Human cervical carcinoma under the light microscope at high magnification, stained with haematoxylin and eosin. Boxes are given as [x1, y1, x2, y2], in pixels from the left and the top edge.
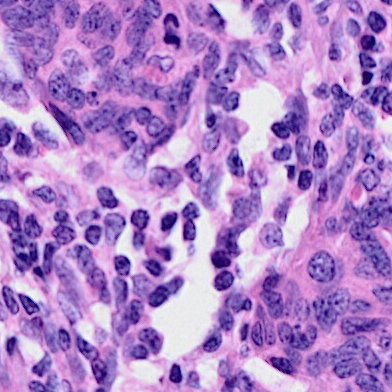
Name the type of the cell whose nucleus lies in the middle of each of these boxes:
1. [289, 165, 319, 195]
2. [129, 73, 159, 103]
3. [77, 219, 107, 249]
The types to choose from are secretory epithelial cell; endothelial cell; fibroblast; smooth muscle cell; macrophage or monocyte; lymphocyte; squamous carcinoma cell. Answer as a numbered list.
1. lymphocyte
2. squamous carcinoma cell
3. lymphocyte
